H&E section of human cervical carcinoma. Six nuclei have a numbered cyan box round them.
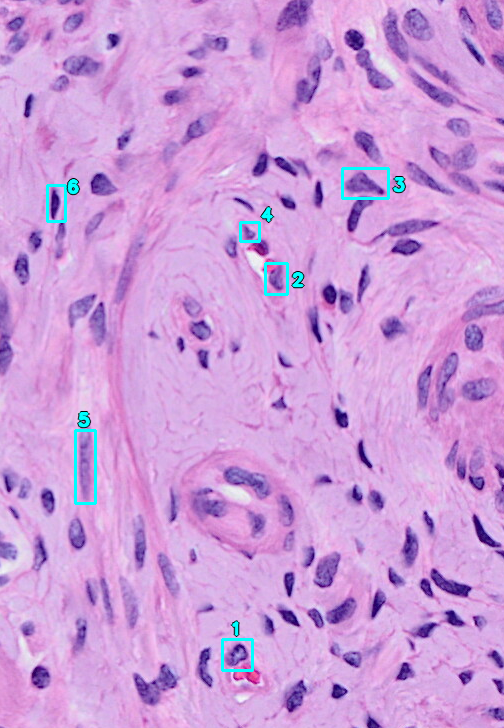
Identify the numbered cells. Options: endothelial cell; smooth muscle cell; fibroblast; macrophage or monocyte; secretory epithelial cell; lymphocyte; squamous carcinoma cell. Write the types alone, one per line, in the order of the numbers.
endothelial cell
endothelial cell
fibroblast
endothelial cell
smooth muscle cell
fibroblast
